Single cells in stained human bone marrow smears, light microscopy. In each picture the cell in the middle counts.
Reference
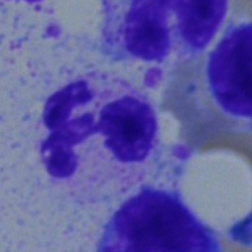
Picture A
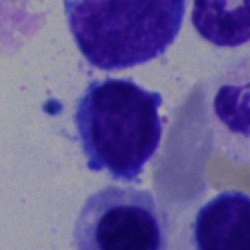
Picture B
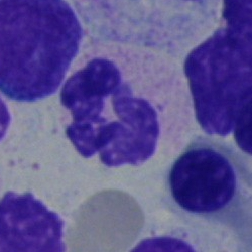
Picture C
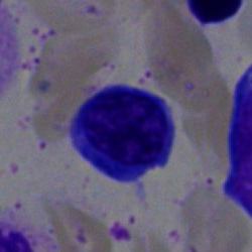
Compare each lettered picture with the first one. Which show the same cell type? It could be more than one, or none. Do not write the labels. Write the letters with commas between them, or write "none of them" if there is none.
B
